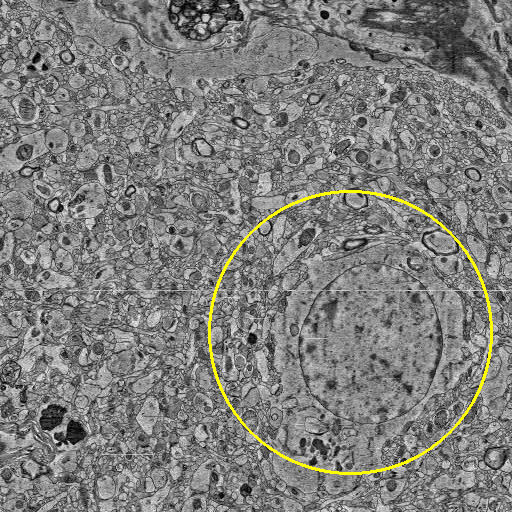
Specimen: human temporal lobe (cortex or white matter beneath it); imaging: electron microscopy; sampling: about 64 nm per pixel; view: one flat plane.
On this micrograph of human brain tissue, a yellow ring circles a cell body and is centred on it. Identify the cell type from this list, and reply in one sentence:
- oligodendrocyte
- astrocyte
The cell at the centre is an astrocyte.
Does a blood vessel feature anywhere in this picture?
Yes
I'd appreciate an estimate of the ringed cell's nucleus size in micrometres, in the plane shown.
Approximately 11 x 9 micrometres in this plane.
